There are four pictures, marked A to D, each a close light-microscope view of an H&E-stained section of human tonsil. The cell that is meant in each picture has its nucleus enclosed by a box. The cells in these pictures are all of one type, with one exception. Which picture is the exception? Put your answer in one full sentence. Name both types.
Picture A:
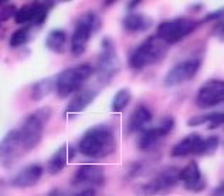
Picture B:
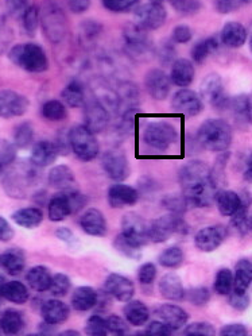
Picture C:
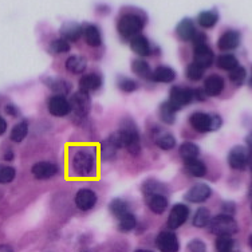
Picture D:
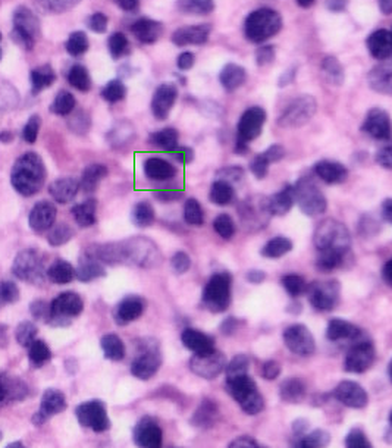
Picture C differs, because its cell is a plasma cell and the rest are proliferating B cells.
